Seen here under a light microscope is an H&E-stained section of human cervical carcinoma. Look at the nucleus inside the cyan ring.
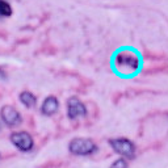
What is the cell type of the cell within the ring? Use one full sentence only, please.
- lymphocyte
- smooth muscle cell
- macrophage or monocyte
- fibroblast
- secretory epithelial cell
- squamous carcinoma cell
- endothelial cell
As to its cell type, the cell within the ring is a smooth muscle cell.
